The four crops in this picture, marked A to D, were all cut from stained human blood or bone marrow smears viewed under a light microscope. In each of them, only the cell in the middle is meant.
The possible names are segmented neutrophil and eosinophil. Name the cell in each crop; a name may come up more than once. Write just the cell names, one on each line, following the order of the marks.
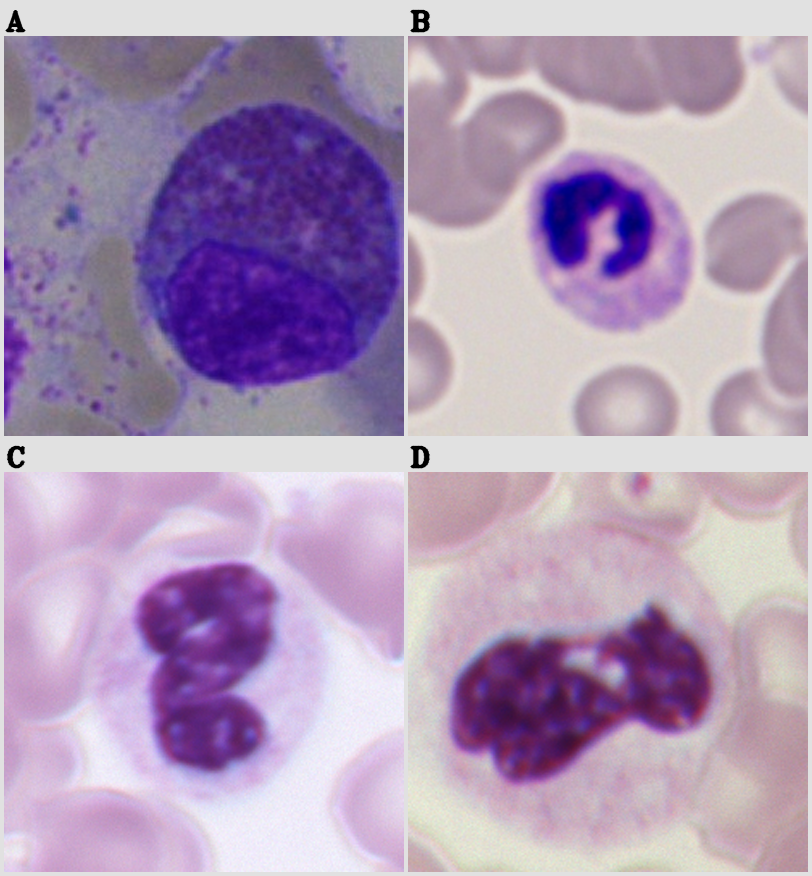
eosinophil
segmented neutrophil
segmented neutrophil
segmented neutrophil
